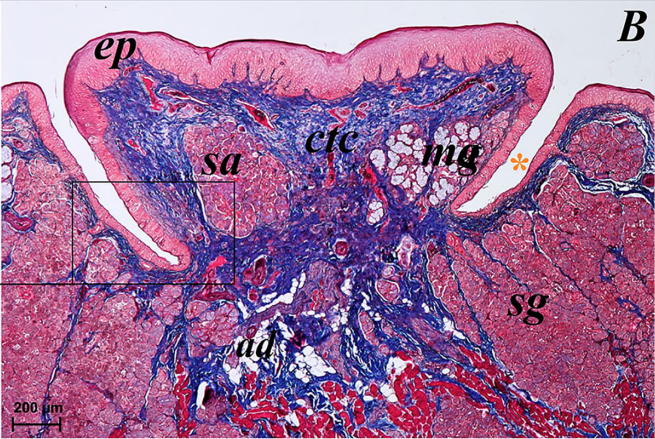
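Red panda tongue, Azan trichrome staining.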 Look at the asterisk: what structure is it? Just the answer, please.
Papillary groove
